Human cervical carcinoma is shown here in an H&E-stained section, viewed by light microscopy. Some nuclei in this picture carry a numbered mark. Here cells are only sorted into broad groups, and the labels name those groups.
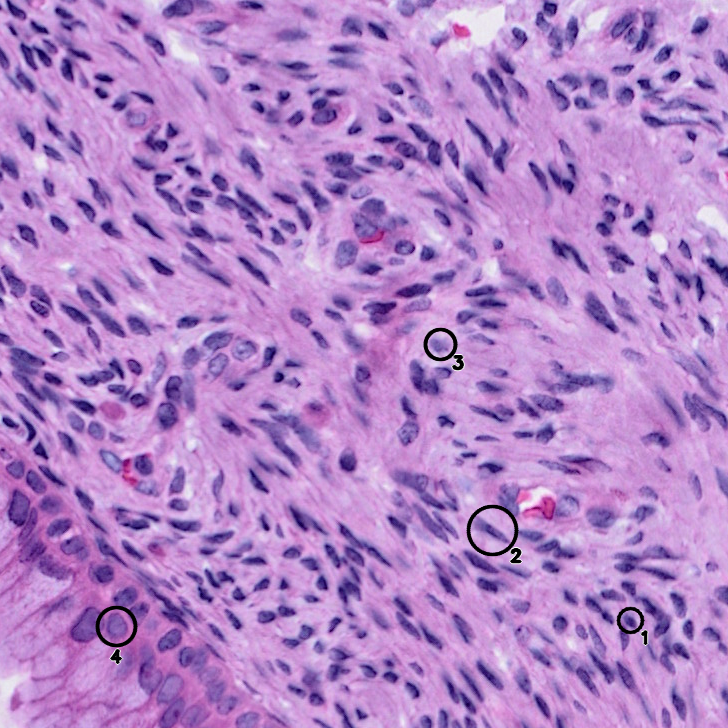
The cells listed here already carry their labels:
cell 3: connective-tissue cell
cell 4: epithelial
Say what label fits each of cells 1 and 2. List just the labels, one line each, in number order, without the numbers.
connective-tissue cell
connective-tissue cell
